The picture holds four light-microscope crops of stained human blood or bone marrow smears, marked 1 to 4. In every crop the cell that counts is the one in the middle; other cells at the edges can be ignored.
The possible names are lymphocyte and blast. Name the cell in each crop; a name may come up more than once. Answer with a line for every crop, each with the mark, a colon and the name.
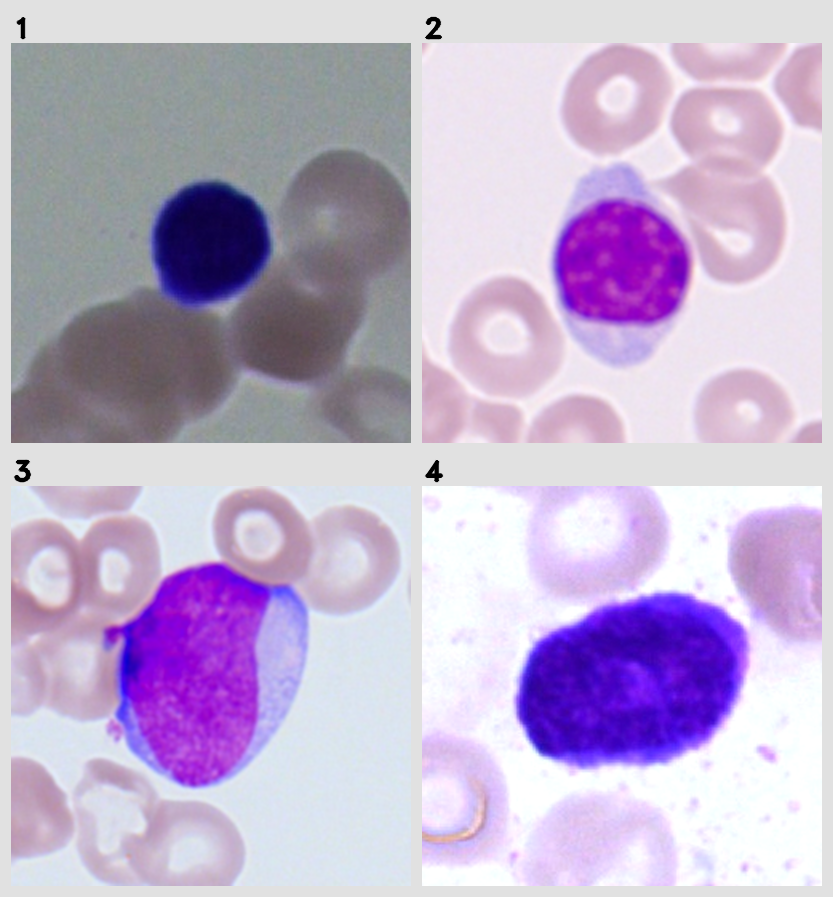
1: lymphocyte
2: lymphocyte
3: blast
4: blast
